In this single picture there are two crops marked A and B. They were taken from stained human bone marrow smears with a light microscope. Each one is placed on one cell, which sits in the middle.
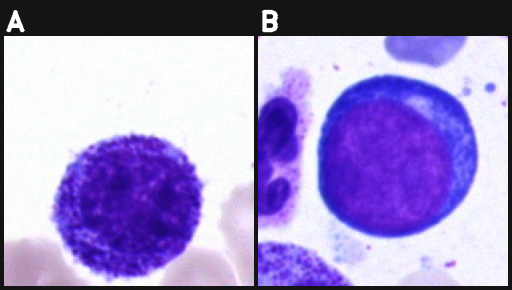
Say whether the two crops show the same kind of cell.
no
